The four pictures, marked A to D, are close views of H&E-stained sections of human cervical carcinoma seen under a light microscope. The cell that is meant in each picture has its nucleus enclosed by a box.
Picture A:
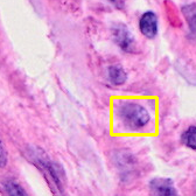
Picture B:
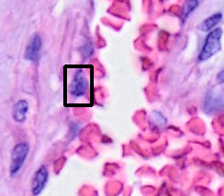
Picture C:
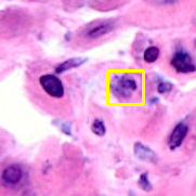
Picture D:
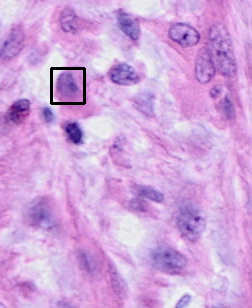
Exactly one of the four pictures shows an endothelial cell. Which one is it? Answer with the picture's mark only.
B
